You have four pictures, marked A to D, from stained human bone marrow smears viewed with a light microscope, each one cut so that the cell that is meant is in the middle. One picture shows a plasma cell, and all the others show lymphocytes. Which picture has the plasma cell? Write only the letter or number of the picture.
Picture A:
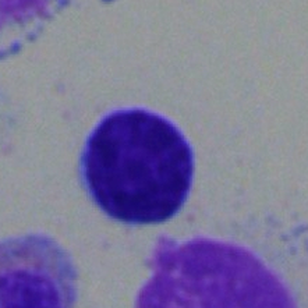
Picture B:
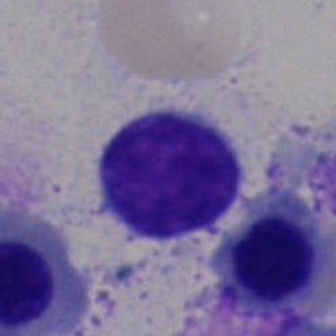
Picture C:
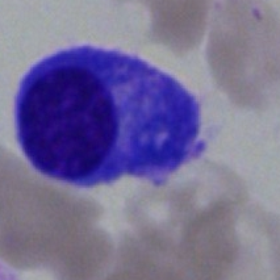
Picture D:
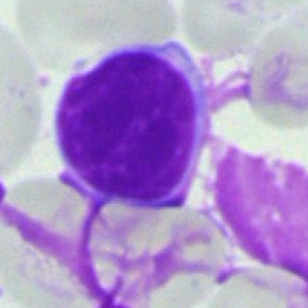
C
